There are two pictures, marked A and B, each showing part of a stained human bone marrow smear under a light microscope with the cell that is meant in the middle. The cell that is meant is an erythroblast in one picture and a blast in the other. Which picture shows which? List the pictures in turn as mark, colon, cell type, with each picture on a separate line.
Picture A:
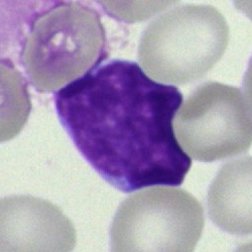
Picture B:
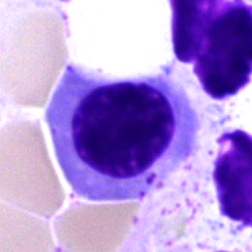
A: blast
B: erythroblast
